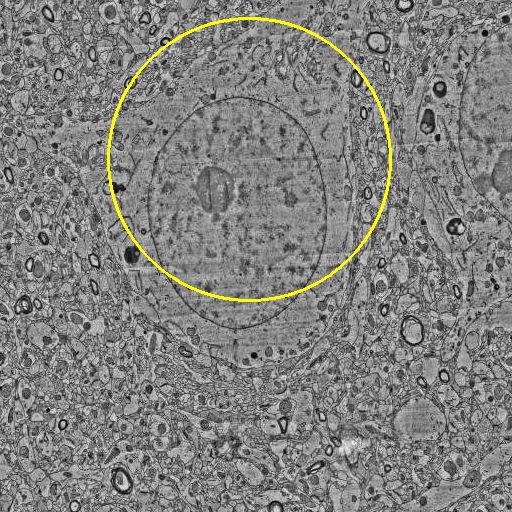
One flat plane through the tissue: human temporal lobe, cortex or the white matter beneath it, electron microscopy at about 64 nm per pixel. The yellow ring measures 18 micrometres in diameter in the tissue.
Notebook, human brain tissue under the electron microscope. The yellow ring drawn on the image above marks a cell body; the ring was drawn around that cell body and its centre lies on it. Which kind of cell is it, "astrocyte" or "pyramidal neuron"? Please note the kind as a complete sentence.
The marked cell body is that of a pyramidal neuron.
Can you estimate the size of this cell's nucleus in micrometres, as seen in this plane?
Approximately 15 by 12 micrometers in this plane.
